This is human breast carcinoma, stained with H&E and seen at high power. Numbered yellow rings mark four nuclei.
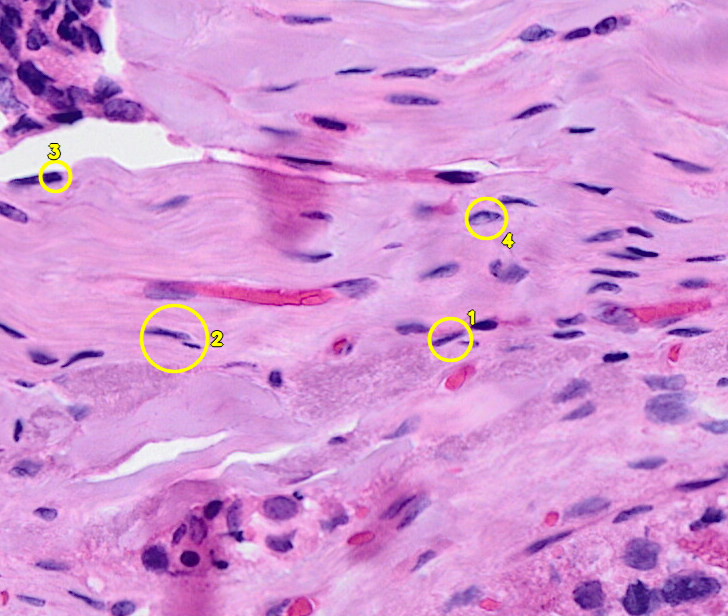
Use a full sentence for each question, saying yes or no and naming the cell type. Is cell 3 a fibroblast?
No, calling cell 3 a fibroblast is incorrect; it is a lymphocyte.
